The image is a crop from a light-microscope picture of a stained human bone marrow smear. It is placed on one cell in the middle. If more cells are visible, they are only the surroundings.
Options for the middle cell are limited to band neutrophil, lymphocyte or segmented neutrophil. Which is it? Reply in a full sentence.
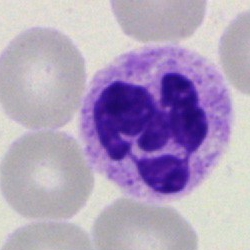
In the center of this field lies a segmented neutrophil.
